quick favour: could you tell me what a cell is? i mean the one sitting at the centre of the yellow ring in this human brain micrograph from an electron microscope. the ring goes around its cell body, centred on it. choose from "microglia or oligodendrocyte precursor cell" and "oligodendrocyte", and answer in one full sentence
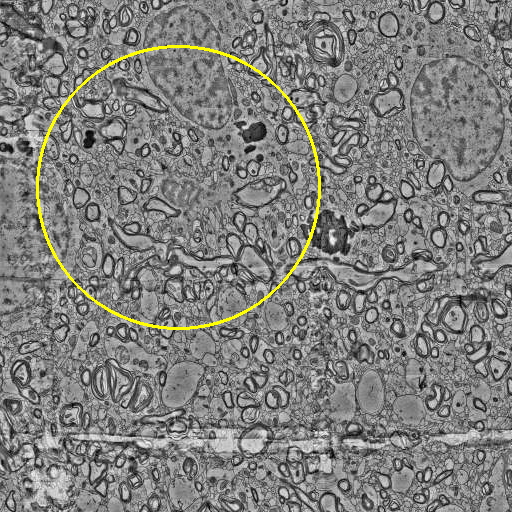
That's an oligodendrocyte, the cell sitting at the centre of the yellow ring.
